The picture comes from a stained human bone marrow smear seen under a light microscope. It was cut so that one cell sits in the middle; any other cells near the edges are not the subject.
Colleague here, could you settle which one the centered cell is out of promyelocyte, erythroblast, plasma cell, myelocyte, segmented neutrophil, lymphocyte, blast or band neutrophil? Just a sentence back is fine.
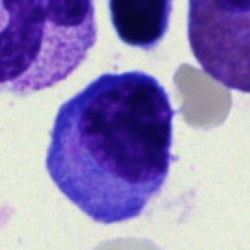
The center cell of this crop is a plasma cell.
